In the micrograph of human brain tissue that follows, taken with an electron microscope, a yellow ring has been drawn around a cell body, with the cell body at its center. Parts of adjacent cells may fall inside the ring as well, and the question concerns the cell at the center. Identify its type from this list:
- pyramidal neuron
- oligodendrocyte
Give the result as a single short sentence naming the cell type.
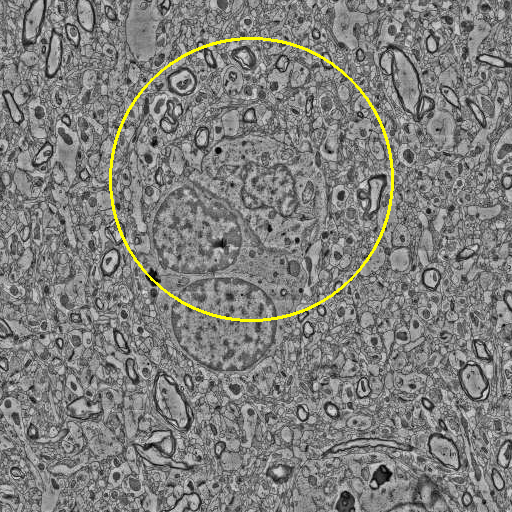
The ring is centered on a pyramidal neuron.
